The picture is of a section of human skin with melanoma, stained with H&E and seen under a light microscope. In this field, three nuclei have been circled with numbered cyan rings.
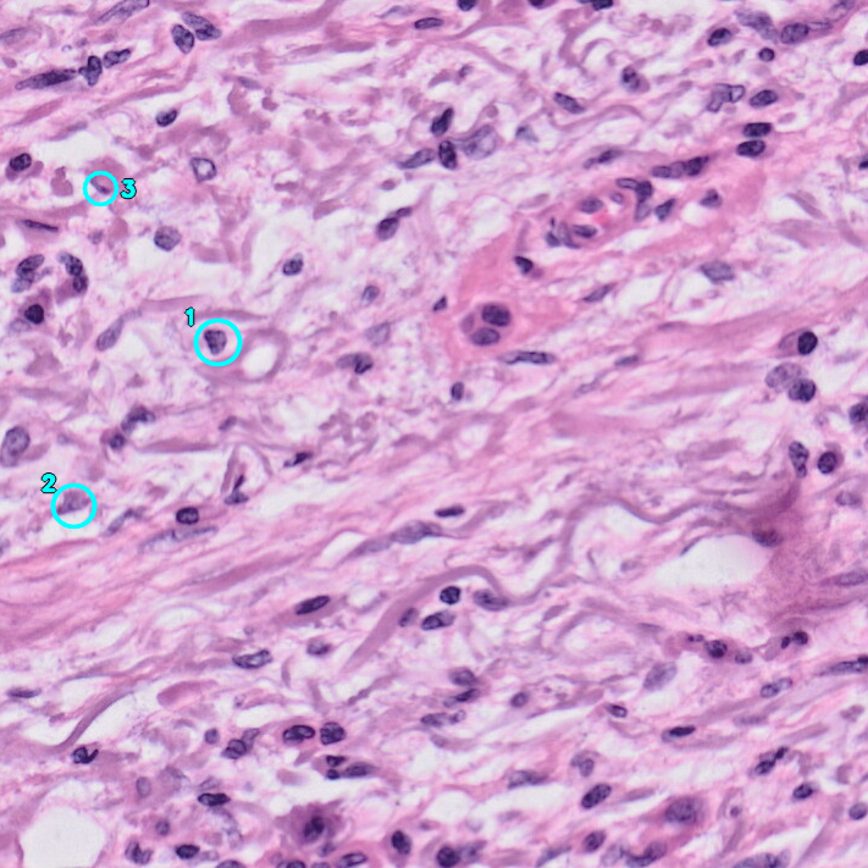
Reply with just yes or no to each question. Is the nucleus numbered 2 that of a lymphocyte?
no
